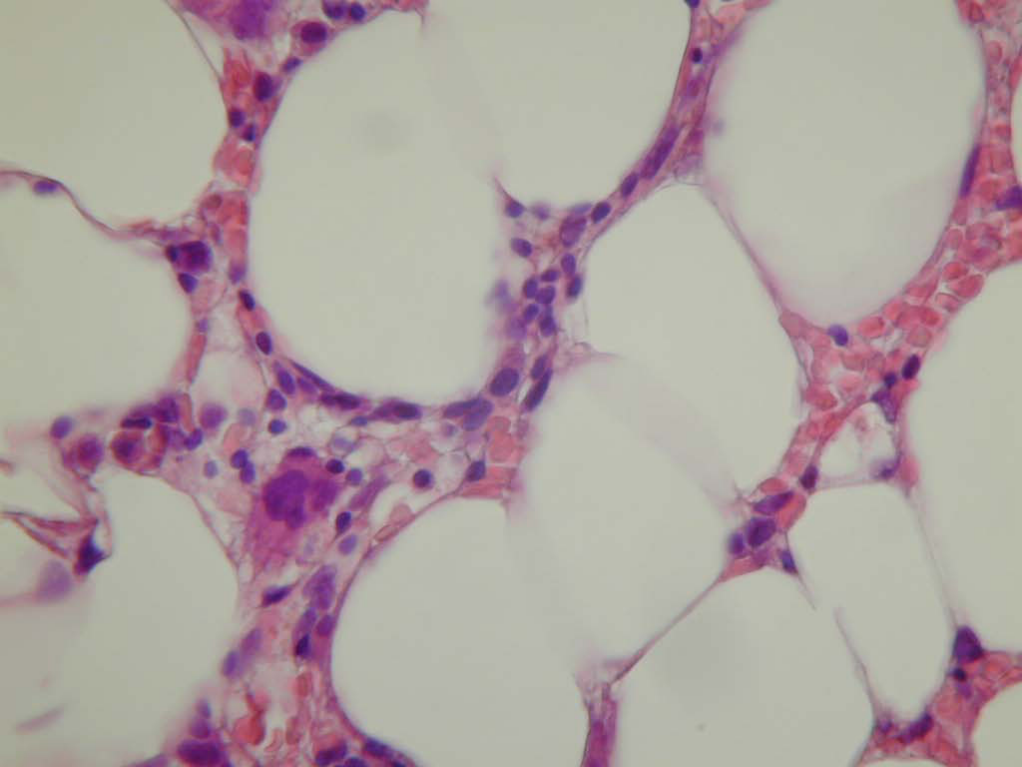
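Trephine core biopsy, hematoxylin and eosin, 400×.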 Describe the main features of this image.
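Bone marrow in which large, clear, rounded fat spaces take up most of the field. Between them run narrow cords holding many red blood cells and scattered small nucleated cells with round to oval, dark purple nuclei. A single very large cell lies in a wider cord at the lower left-centre. It has a lobulated, deeply stained nucleus and pink cytoplasm, consistent with a megakaryocyte.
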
